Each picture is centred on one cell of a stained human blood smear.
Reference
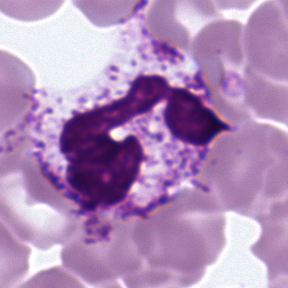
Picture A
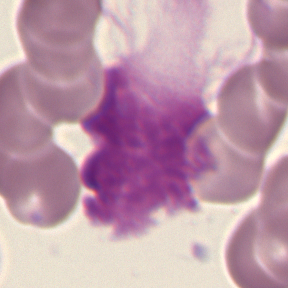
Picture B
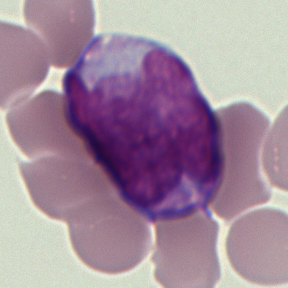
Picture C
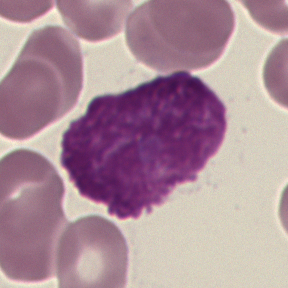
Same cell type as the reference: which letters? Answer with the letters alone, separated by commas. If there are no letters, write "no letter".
no letter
